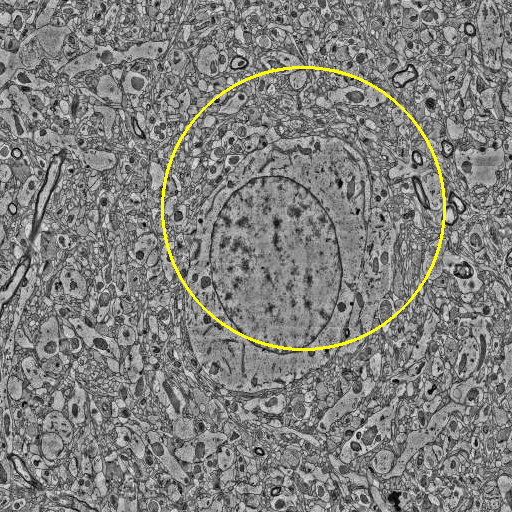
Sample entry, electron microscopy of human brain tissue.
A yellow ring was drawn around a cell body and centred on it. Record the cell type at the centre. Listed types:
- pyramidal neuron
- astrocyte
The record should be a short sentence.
The cell at the ring's centre is a pyramidal neuron.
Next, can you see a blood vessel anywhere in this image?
No, none is visible.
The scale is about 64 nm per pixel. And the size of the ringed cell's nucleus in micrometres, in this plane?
Approximately 11 x 8 micrometres in this plane.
